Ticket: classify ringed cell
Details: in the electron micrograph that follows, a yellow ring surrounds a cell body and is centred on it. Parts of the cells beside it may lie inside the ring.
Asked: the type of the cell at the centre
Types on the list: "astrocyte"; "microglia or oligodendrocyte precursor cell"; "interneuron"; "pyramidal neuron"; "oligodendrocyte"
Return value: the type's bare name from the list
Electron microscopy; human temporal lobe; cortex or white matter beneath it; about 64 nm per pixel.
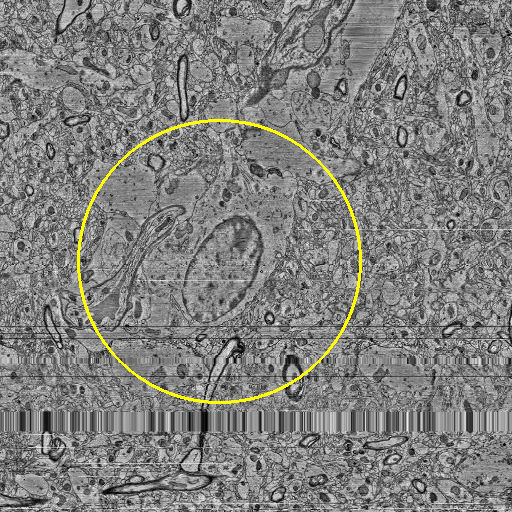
microglia or oligodendrocyte precursor cell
